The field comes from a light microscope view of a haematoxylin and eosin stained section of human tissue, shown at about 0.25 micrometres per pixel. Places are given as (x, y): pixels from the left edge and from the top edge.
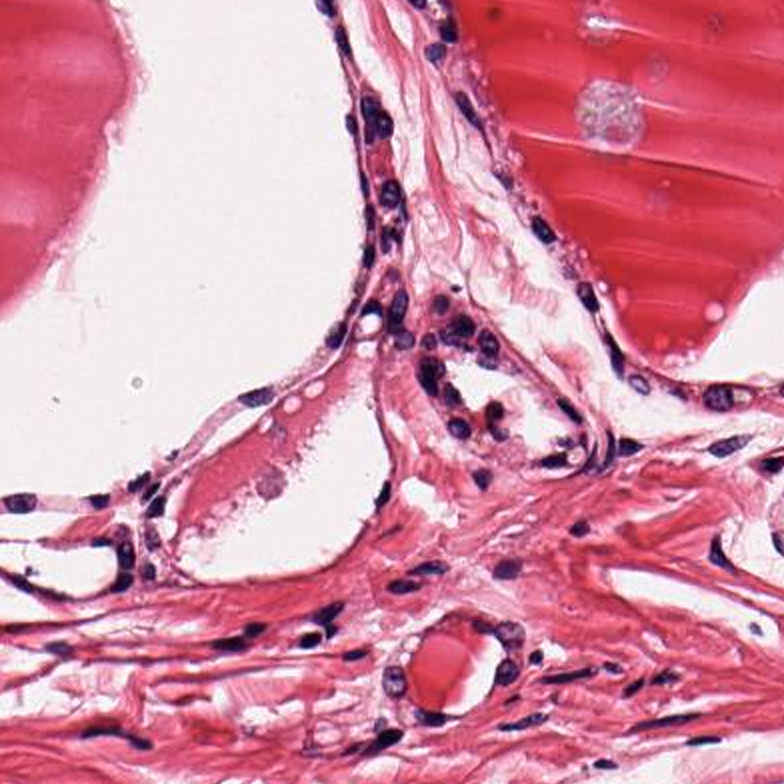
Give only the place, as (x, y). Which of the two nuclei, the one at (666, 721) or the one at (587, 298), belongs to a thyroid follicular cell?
(587, 298)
